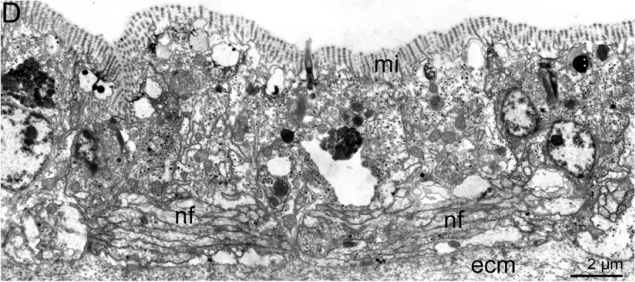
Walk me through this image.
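This is an epithelium with a dense brush of microvilli along its free surface at the top and the extracellular matrix beneath. The cell bodies with their nuclei, vesicles and granules fill the upper part. At the base lies a broad nerve layer of many thin neurites running parallel to the matrix, stacked in layers.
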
